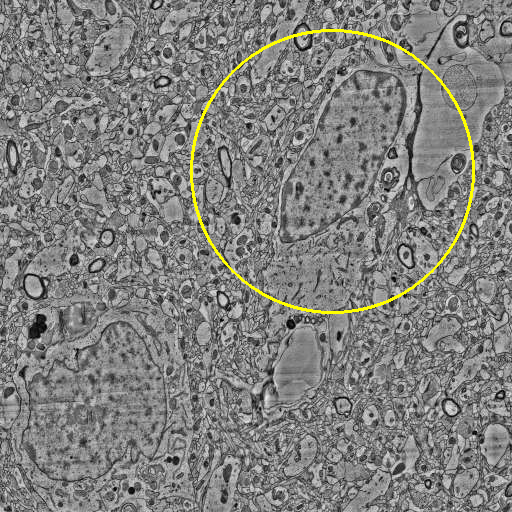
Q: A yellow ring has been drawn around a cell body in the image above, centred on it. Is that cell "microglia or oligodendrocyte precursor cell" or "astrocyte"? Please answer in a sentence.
The ring surrounds the cell body of a microglial cell or oligodendrocyte precursor cell.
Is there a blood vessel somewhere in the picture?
Yes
